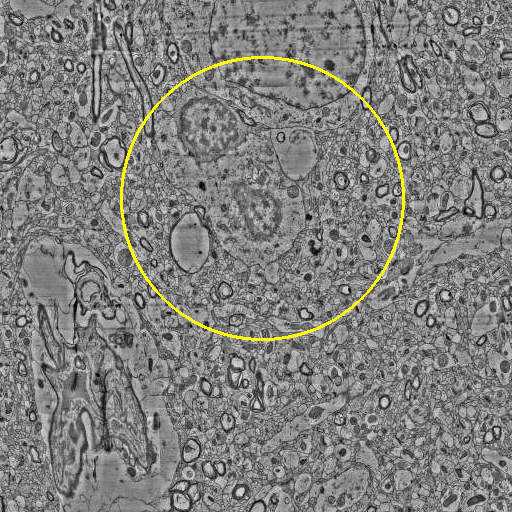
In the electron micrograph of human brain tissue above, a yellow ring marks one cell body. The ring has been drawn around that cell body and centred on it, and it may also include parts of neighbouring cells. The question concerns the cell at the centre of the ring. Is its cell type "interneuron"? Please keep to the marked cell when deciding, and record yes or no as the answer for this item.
yes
